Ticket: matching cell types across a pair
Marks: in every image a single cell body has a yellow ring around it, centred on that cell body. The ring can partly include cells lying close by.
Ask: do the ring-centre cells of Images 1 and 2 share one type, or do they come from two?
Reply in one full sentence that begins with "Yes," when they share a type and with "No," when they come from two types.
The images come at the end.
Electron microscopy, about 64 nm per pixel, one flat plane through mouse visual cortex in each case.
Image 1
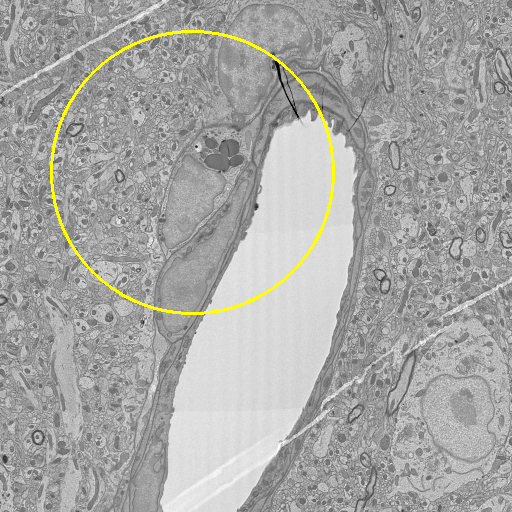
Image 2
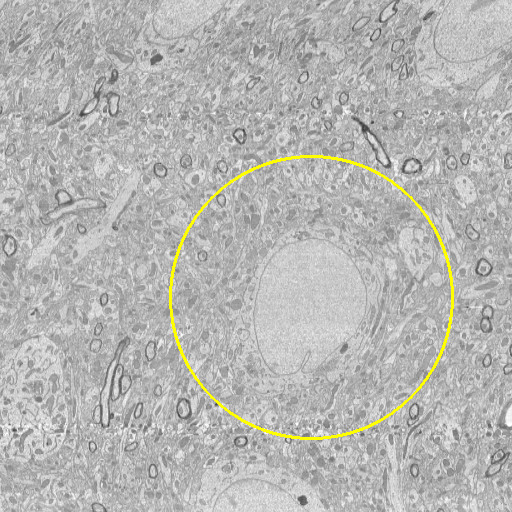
No, the cells in the centres of the rings in Image 1 and Image 2 come from two types.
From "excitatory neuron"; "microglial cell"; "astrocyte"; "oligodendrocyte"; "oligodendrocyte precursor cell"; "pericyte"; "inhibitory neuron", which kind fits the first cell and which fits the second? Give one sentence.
The cell marked in the first picture is a microglial cell, and the one marked in the second is an excitatory neuron.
